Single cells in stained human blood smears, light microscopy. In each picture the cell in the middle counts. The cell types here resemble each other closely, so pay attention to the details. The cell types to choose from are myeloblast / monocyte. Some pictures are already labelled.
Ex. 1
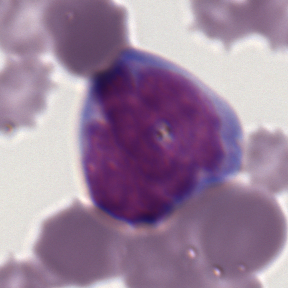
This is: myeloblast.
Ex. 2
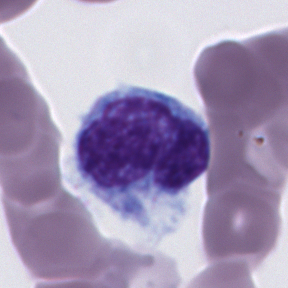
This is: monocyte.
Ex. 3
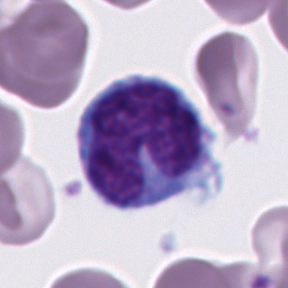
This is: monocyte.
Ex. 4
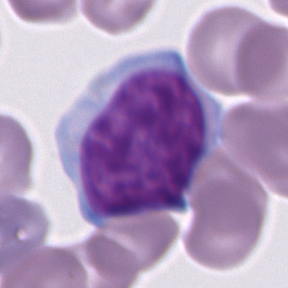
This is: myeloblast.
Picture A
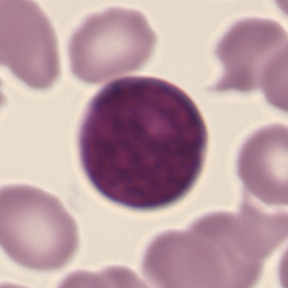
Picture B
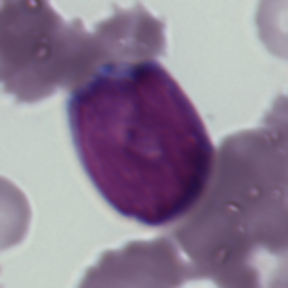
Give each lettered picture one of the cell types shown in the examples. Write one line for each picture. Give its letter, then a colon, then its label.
A: myeloblast.
B: myeloblast.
